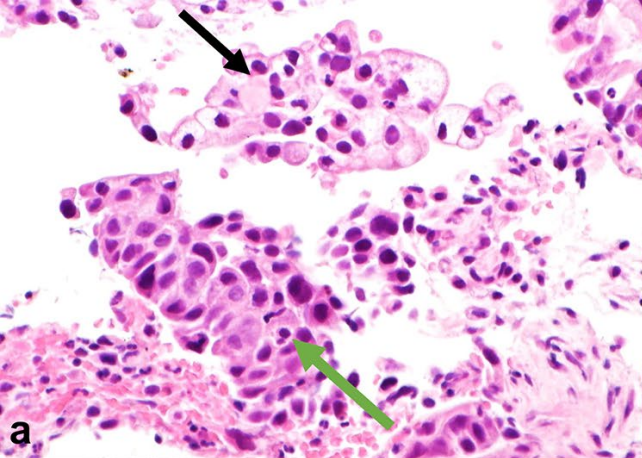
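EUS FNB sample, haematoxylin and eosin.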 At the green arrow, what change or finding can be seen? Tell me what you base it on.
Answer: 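Dense cytoplasm and angular nuclei. The arrowed cluster has dense pink cytoplasm and distinct cell borders.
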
